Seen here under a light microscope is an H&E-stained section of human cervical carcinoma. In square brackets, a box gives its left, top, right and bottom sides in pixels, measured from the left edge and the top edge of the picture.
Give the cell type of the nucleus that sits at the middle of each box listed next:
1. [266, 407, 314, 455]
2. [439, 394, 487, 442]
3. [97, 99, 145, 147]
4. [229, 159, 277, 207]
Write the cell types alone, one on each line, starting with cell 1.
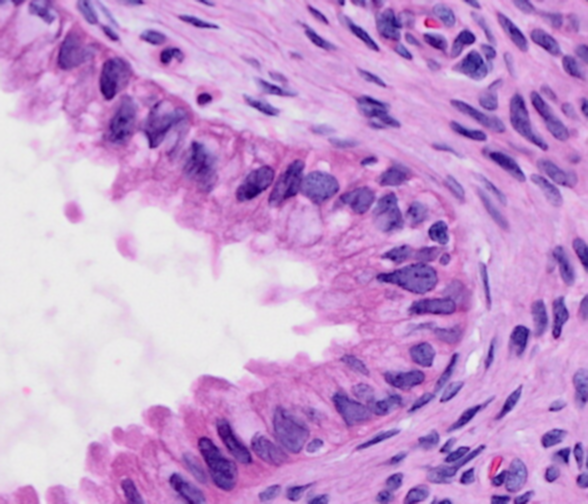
secretory epithelial cell
fibroblast
secretory epithelial cell
secretory epithelial cell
